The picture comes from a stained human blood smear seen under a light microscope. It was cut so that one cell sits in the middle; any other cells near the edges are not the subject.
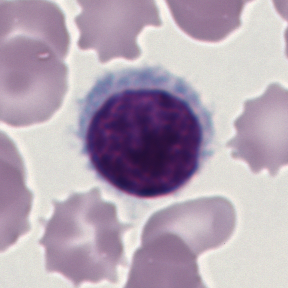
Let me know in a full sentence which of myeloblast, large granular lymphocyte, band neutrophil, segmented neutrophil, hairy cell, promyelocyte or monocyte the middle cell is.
The single cell at the center of the crop is a hairy cell.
